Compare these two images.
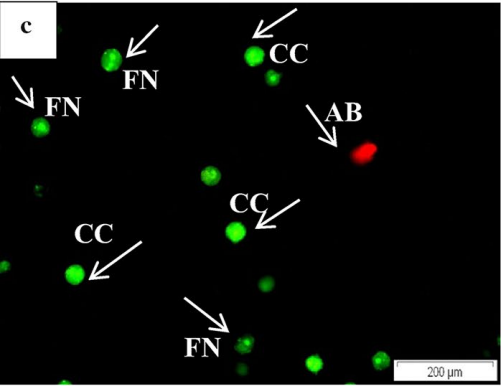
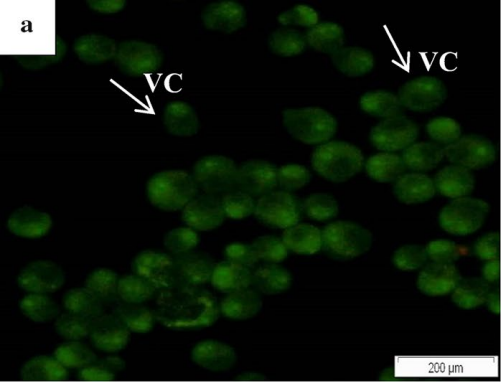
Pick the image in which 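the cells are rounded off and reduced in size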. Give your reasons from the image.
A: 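The first image. First image: small, compact, bright green round cells lie scattered apart on a dark background. Second image: much larger, dull green round to oval cells crowd together in a sheet.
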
